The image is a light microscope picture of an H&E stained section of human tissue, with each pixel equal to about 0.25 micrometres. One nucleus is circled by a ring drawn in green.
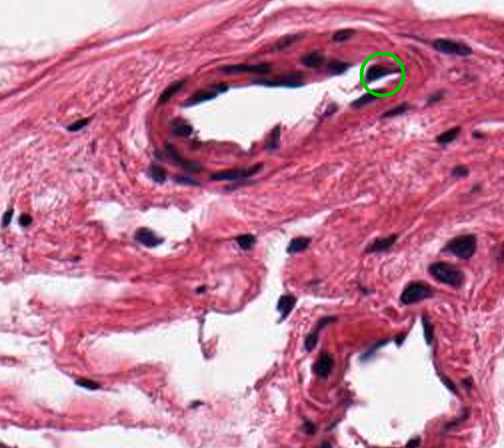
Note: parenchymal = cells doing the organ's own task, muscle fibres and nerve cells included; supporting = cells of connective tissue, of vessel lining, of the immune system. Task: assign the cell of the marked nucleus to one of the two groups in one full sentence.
What the marked nucleus belongs to is a supporting cell.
